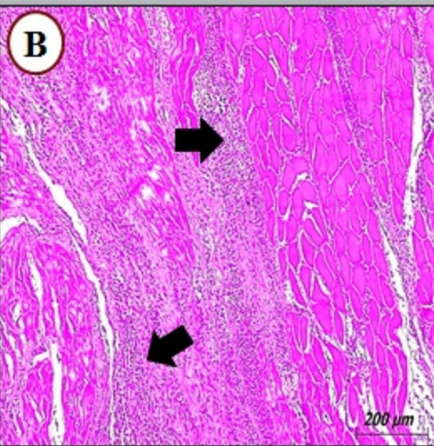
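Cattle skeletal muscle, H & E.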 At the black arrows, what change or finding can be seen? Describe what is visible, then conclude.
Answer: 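Dense bands of small dark nuclei run between the pink muscle fibers. The cellular bands separate fiber bundles lengthwise. The answer: intense myositis.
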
